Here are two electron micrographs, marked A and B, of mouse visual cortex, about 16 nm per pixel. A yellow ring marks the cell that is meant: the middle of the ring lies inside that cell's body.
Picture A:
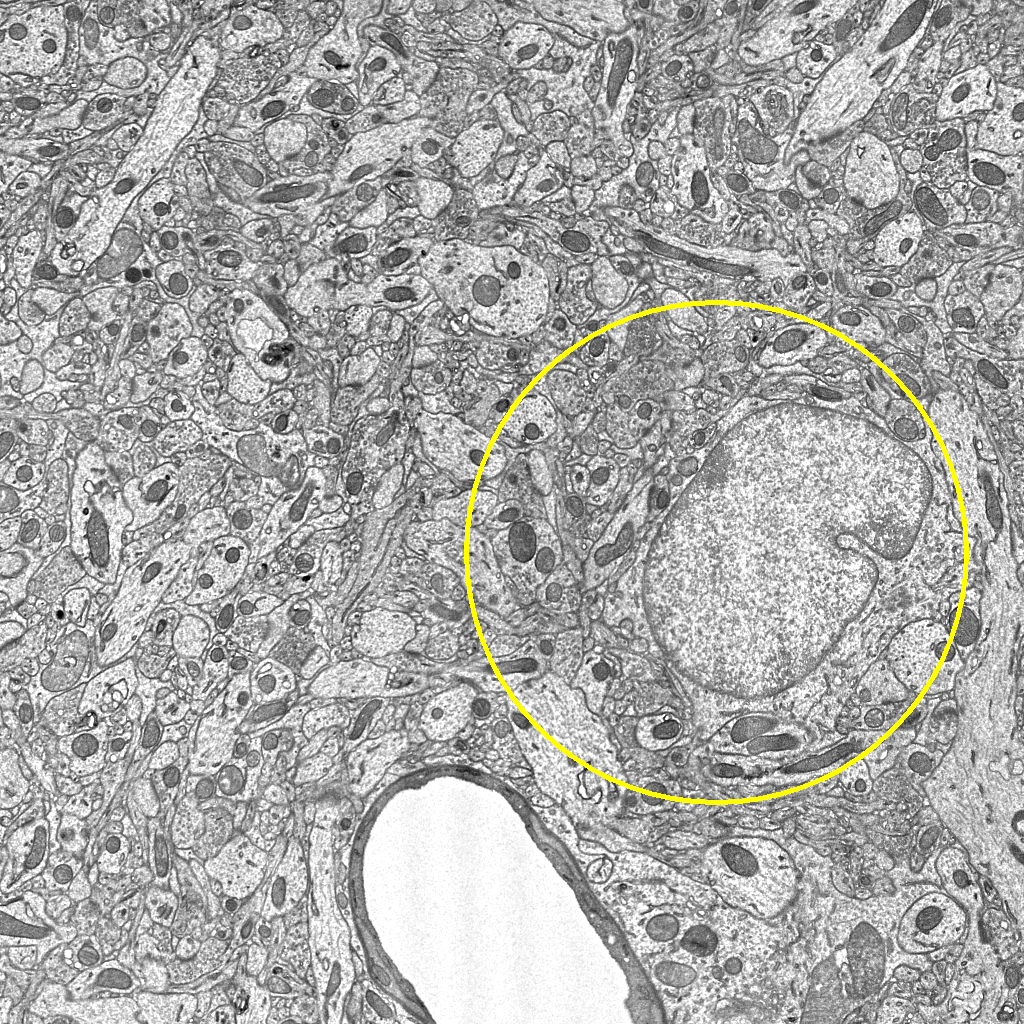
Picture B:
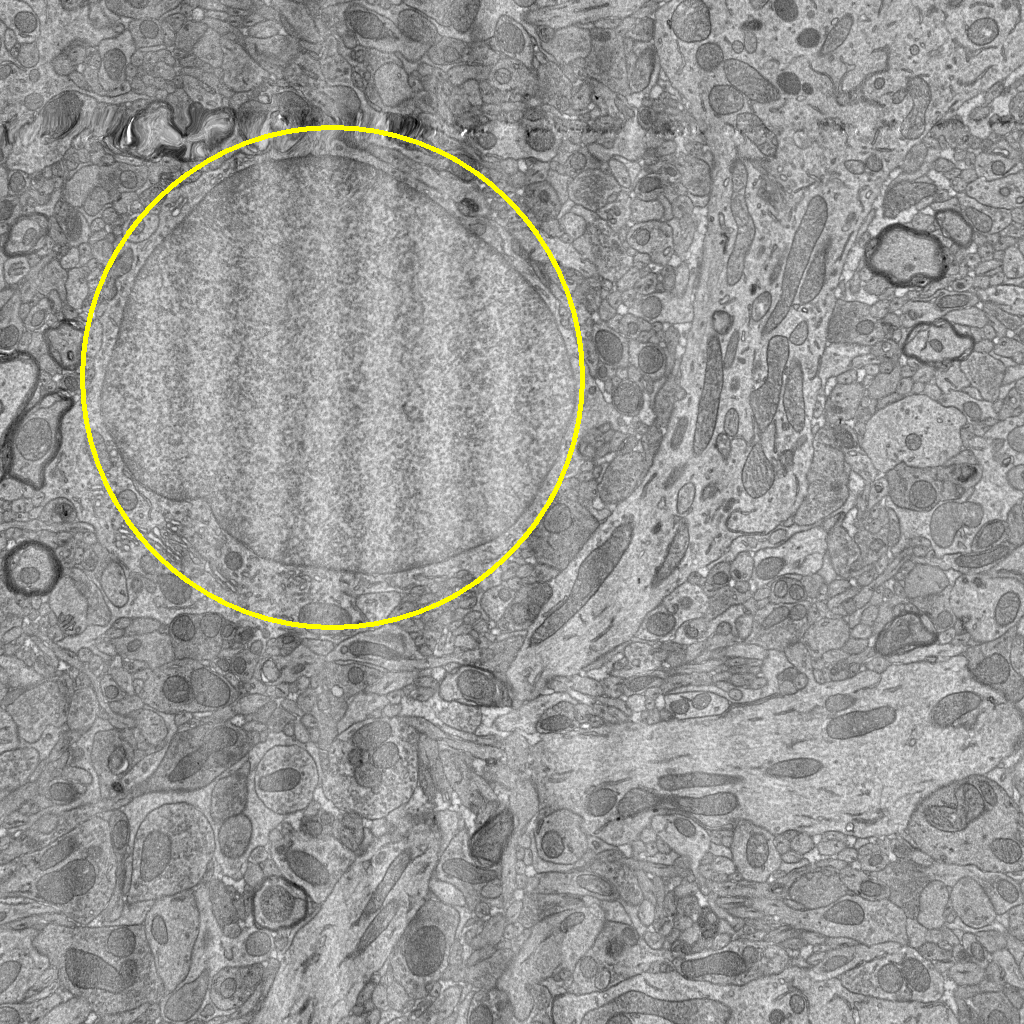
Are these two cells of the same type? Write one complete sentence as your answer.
Yes, the two pictures both show astrocytes.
